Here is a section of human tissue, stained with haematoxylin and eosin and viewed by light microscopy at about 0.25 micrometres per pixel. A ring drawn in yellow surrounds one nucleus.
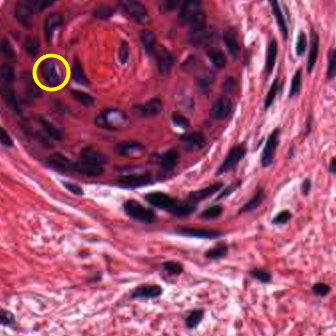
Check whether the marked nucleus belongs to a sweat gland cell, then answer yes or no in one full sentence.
No, a sweat gland cell is not the cell of the marked nucleus; a keratinocyte is.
